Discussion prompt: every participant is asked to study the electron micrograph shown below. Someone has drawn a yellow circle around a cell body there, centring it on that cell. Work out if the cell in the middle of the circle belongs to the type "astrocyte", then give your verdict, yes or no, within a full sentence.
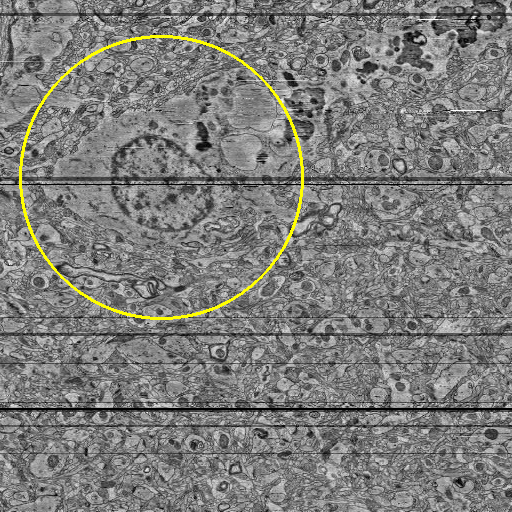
Yes, my verdict is that the cell in the circle's centre is of that type.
